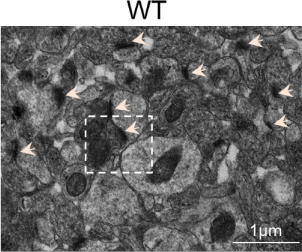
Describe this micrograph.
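Scattered through it are several synapses, each seen as a short, dark, thickened segment of membrane where two profiles touch, and arrows point to them. Round and oval mitochondria with inner membrane folds lie in several of the profiles. A dashed box outlines one synapse beside a rounded profile.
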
